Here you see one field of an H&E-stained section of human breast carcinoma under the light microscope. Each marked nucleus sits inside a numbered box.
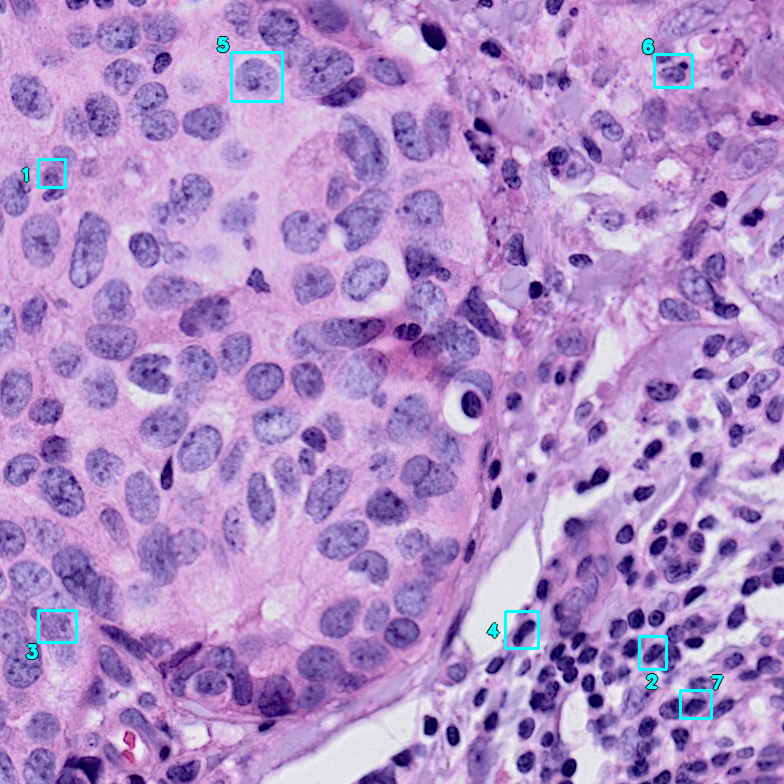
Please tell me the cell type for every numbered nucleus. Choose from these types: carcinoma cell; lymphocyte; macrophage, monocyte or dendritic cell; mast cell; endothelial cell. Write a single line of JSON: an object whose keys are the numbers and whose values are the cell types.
{"1": "carcinoma cell", "2": "lymphocyte", "3": "carcinoma cell", "4": "lymphocyte", "5": "carcinoma cell", "6": "macrophage, monocyte or dendritic cell", "7": "lymphocyte"}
